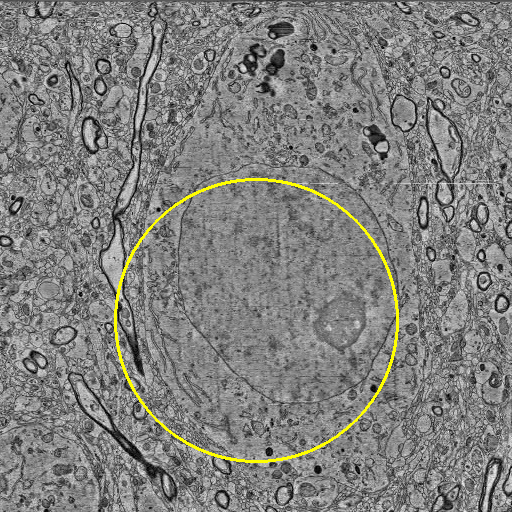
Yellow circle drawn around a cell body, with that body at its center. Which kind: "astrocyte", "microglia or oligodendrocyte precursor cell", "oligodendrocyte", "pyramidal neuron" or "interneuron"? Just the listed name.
pyramidal neuron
